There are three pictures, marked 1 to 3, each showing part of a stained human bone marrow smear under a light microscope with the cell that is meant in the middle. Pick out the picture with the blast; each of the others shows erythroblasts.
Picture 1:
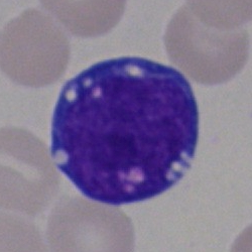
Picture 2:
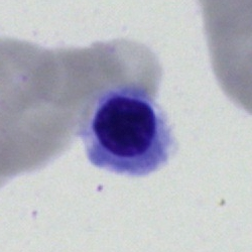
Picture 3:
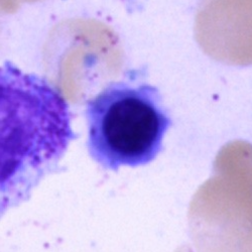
1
